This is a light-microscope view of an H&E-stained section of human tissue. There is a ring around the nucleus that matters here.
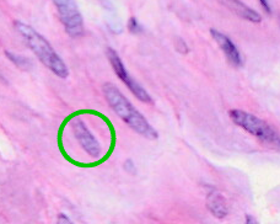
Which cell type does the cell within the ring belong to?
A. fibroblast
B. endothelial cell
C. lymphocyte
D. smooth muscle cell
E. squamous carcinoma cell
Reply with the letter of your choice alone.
D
